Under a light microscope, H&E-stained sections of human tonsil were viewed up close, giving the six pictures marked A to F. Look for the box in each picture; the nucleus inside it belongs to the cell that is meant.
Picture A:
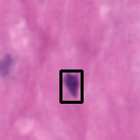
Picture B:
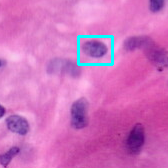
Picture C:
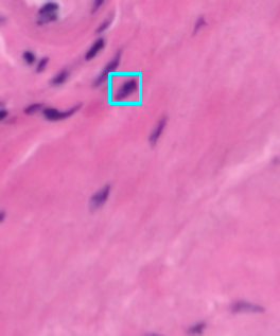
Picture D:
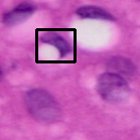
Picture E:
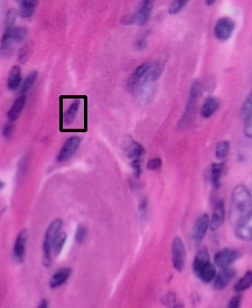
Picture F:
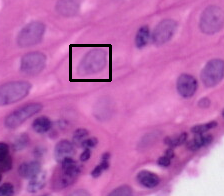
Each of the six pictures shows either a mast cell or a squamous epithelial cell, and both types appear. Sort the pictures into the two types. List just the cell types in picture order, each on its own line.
mast cell
mast cell
mast cell
squamous epithelial cell
mast cell
squamous epithelial cell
